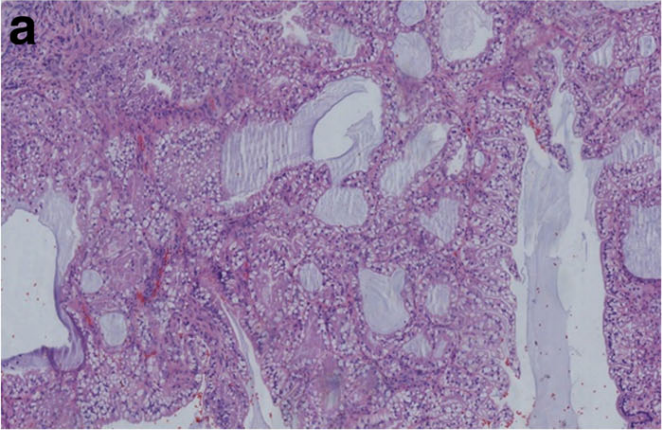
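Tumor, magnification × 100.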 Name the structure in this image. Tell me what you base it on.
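Basophilic secretions. Rounded and elongated spaces contain pale grey-blue homogeneous material. These spaces are surrounded by tumor cells.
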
